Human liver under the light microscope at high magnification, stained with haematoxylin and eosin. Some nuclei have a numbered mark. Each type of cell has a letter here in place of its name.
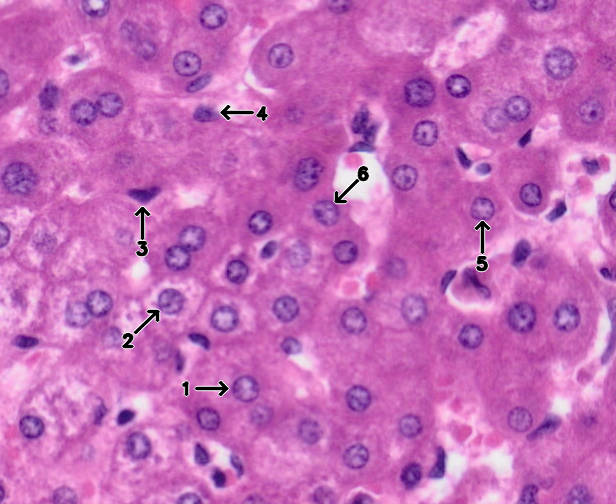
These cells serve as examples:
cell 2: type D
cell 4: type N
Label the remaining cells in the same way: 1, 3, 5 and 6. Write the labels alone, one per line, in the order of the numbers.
type D
type N
type D
type D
